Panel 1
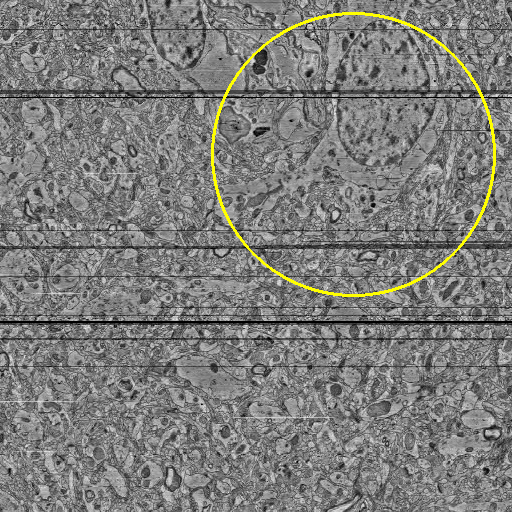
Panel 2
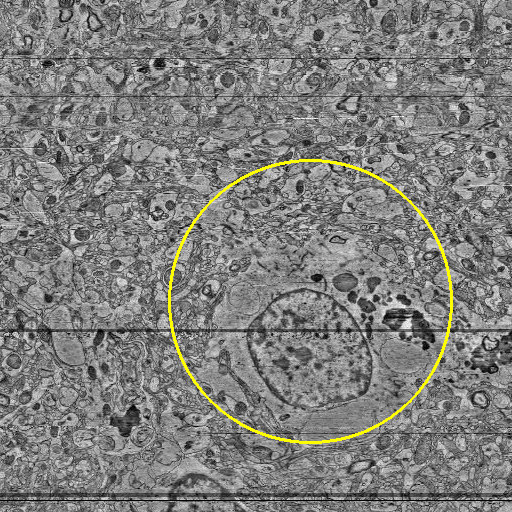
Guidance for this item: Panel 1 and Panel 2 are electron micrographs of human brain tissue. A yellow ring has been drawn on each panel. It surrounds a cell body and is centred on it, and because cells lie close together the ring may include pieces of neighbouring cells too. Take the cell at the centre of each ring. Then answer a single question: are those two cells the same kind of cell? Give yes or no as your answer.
yes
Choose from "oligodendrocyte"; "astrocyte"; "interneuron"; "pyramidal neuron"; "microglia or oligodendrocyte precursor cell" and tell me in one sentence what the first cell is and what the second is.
Each of the ringed cells, first and second, is an astrocyte.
